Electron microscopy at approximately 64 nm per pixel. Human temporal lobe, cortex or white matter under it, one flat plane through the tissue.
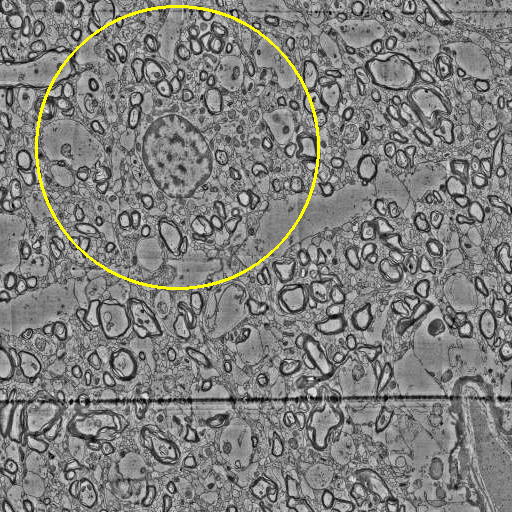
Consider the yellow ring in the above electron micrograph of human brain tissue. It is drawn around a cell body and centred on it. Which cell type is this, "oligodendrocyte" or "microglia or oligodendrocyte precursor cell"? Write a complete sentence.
The cell in question is a microglial cell or oligodendrocyte precursor cell.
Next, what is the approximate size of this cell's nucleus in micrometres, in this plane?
In this plane, the nucleus is roughly 5 by 4 micrometres.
